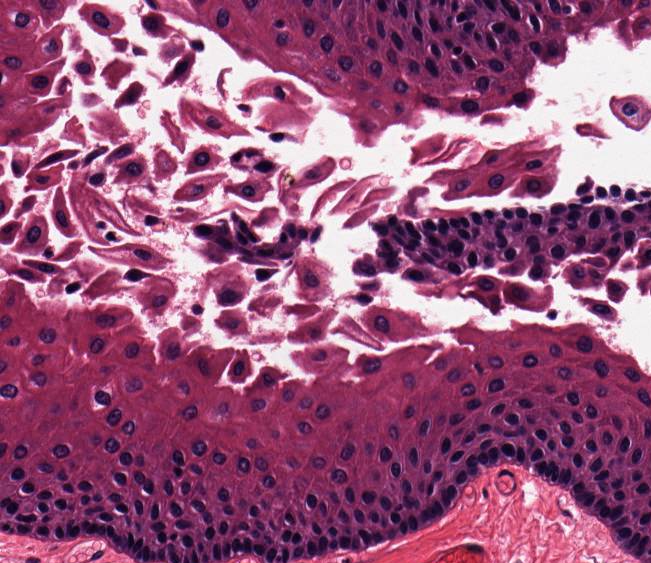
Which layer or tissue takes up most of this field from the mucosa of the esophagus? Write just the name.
stratified squamous nonkeratinized epithelium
